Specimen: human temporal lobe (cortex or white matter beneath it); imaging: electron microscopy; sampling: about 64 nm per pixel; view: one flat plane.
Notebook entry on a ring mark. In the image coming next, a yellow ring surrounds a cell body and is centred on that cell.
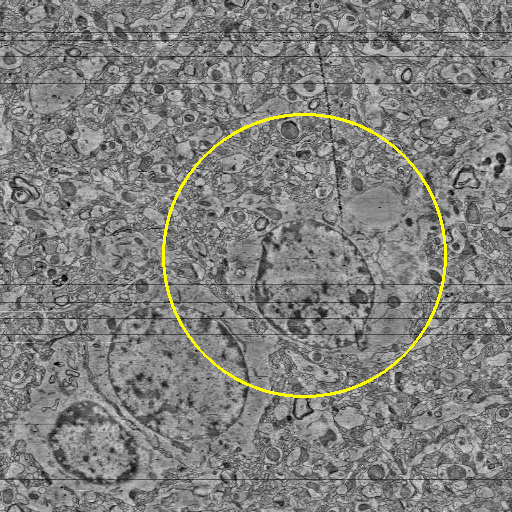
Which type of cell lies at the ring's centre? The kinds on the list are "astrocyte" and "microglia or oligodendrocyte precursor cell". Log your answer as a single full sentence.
Centred in the yellow ring is an astrocyte, the cell recorded for this image.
